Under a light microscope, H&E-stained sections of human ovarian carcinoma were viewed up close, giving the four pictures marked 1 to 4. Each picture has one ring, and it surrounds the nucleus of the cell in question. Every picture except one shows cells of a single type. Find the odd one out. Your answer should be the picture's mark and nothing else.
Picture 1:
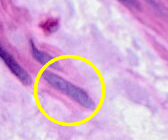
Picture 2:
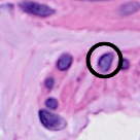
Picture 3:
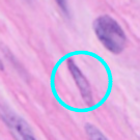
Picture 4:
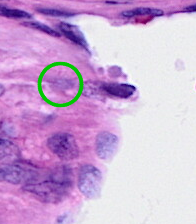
4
